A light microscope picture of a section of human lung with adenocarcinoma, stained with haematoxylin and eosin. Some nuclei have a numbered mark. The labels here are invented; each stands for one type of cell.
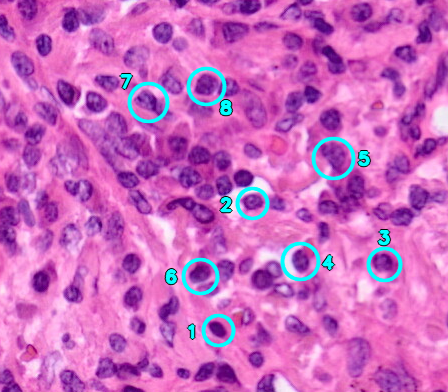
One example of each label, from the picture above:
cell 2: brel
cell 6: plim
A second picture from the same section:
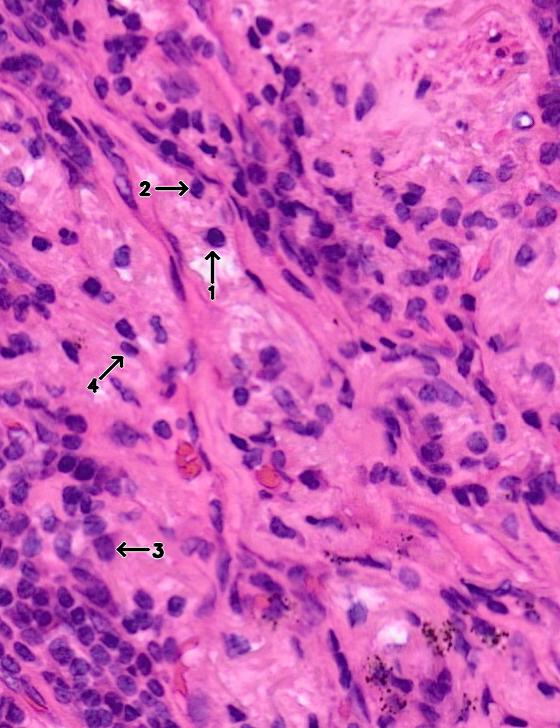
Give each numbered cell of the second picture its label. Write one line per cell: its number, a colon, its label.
1: brel
2: brel
3: plim
4: brel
